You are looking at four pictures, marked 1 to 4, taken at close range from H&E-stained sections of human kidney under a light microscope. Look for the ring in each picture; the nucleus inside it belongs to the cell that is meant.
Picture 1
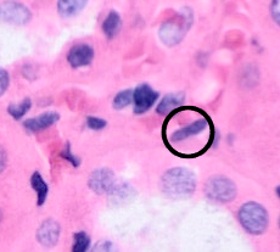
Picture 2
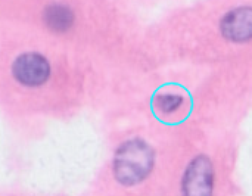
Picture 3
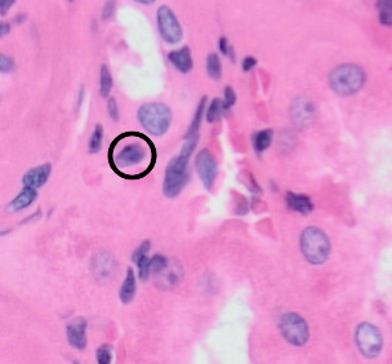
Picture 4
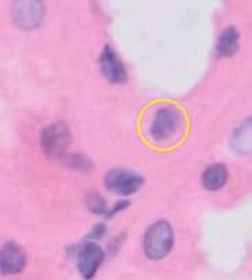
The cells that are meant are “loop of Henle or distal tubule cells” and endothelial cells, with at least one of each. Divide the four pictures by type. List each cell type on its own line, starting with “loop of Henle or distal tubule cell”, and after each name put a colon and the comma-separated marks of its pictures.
loop of Henle or distal tubule cell: 4
endothelial cell: 1, 2, 3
